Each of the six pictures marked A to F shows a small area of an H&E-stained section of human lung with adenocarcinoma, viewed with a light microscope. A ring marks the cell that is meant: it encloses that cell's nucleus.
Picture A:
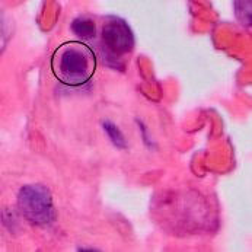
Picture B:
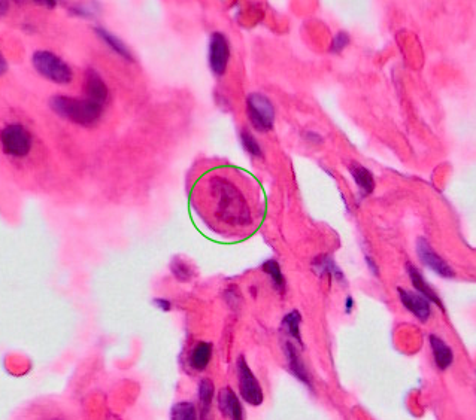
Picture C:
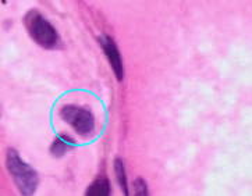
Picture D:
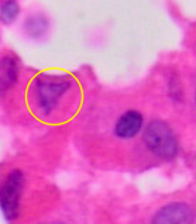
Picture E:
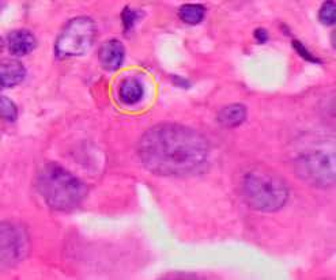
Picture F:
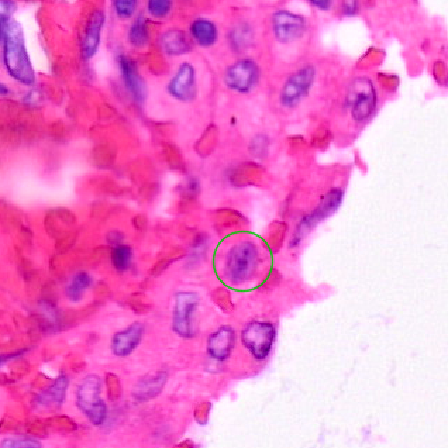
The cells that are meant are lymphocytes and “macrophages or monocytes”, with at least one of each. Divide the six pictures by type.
A: lymphocyte
B: macrophage or monocyte
C: lymphocyte
D: macrophage or monocyte
E: lymphocyte
F: macrophage or monocyte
